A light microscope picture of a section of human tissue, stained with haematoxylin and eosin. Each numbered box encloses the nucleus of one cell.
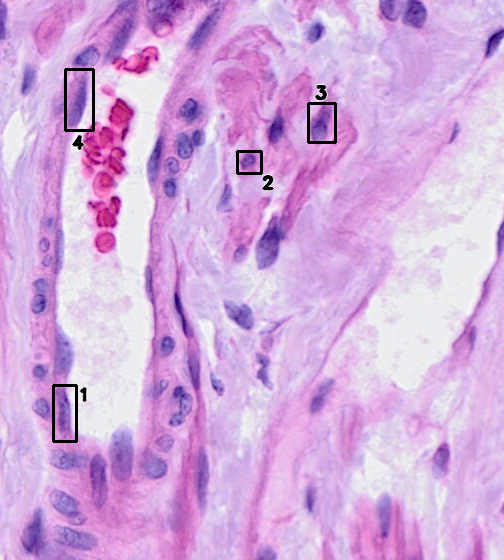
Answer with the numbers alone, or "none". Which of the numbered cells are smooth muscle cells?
2, 3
